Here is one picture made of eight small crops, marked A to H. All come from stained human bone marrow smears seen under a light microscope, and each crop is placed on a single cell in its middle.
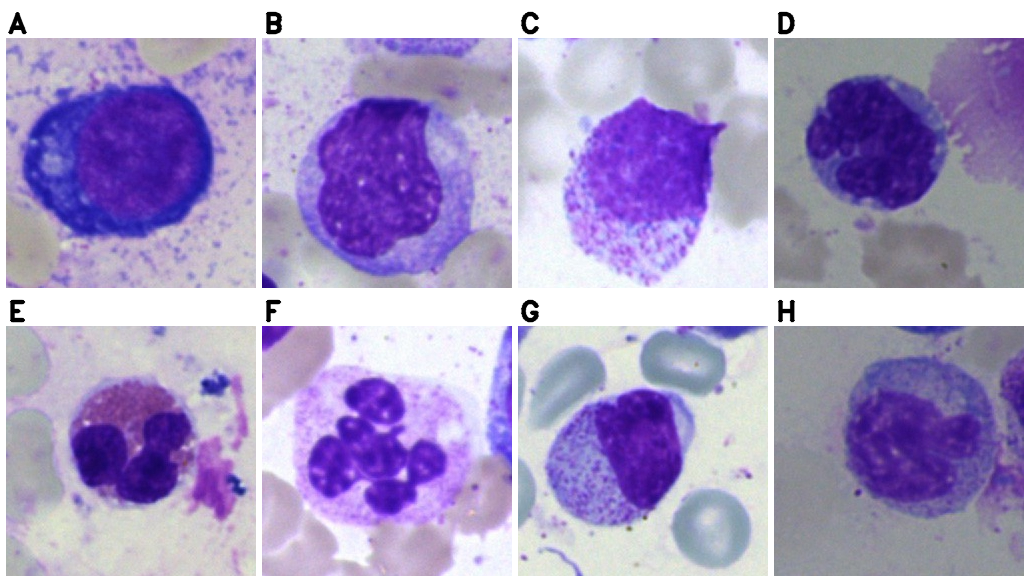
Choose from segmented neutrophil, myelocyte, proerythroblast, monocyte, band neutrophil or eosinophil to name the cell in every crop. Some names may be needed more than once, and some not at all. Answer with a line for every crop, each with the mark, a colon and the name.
A: proerythroblast
B: monocyte
C: myelocyte
D: monocyte
E: eosinophil
F: segmented neutrophil
G: myelocyte
H: monocyte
